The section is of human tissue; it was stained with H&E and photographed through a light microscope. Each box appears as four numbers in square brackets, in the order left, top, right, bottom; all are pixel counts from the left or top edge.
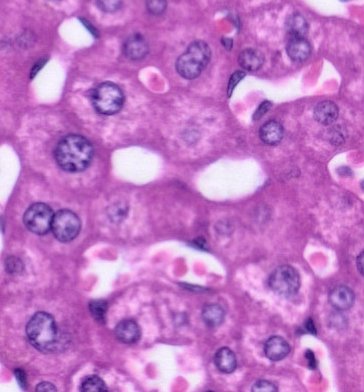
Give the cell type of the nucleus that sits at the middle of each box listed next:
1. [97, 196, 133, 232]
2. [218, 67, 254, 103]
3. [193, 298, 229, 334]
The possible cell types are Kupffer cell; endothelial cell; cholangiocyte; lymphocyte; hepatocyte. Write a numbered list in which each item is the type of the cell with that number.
1. hepatocyte
2. endothelial cell
3. hepatocyte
